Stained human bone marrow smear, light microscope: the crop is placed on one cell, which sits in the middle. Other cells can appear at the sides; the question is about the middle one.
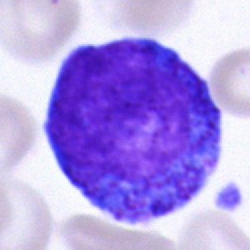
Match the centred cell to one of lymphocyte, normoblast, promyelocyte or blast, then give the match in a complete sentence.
The cell found in the middle of this crop is a promyelocyte.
